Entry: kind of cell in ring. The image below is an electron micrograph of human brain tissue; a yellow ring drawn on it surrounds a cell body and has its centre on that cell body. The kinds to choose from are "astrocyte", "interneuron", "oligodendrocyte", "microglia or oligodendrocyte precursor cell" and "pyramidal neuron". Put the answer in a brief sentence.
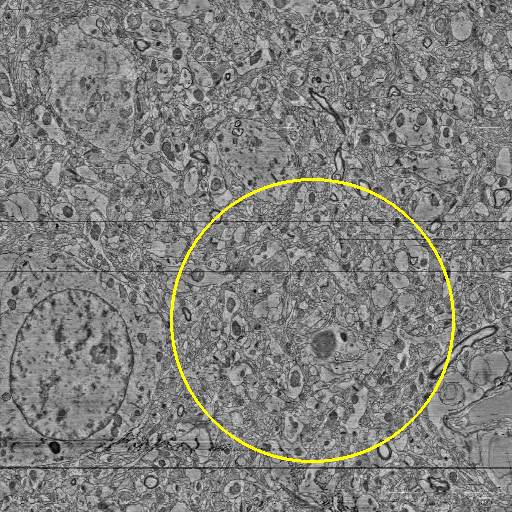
The ring has been drawn around a microglial cell or oligodendrocyte precursor cell.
